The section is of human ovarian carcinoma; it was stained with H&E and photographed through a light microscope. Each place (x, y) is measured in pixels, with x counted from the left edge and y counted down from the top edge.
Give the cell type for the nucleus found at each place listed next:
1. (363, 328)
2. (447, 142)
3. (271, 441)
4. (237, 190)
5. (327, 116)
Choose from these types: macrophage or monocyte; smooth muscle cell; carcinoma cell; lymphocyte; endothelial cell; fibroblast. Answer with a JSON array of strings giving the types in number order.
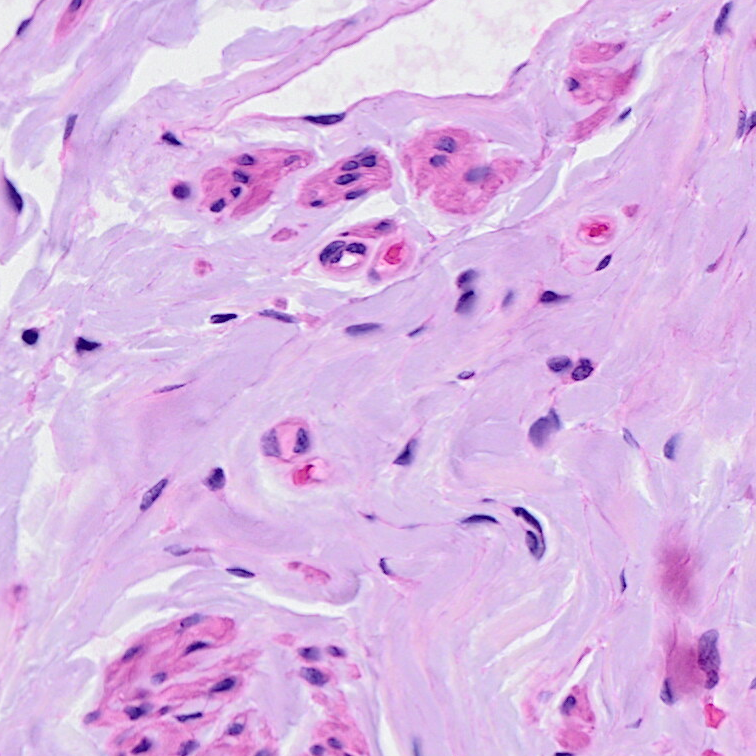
["fibroblast", "smooth muscle cell", "endothelial cell", "smooth muscle cell", "endothelial cell"]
